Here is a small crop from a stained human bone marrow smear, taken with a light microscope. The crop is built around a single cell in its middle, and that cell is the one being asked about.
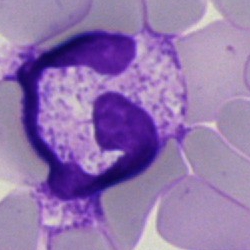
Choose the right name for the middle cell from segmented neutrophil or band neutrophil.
segmented neutrophil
